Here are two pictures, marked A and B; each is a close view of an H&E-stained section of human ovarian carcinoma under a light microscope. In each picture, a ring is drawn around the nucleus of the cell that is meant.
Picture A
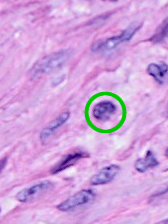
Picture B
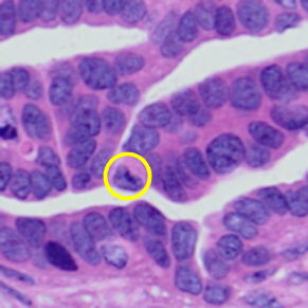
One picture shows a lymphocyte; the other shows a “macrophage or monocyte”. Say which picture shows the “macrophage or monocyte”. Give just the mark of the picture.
B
